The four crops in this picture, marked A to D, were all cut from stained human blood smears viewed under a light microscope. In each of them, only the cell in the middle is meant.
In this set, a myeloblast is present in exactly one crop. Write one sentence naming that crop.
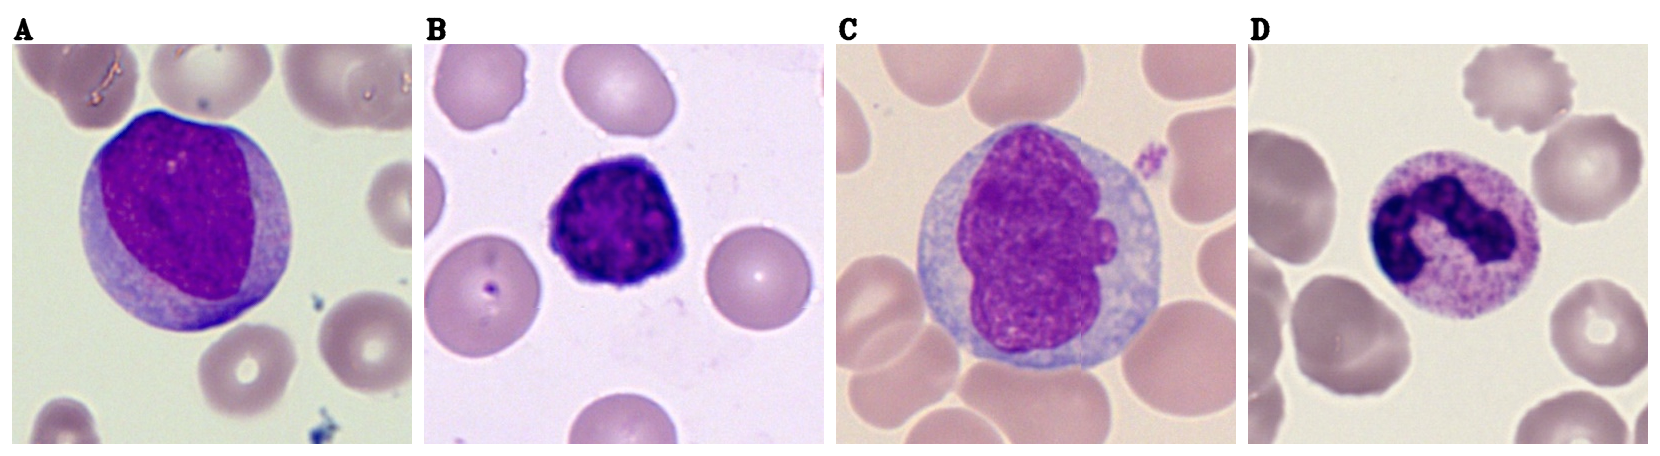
The crop marked A is the one that shows a myeloblast.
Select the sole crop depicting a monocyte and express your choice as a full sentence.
Only in crop C is a monocyte shown.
